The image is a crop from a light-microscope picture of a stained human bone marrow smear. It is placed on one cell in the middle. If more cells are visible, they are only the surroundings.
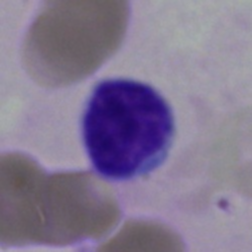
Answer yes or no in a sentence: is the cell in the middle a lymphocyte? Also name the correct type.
Yes, the centrally placed cell is a lymphocyte.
